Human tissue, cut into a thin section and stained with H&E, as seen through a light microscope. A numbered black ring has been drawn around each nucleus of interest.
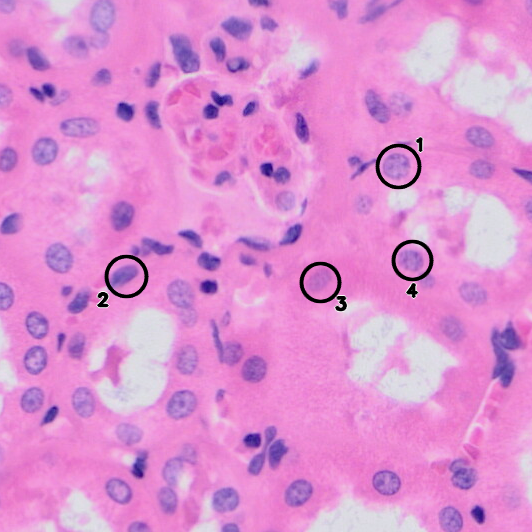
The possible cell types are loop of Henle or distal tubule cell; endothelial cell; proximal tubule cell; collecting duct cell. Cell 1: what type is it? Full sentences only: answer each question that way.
The correct label for cell 1 is a proximal tubule cell.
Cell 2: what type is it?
The cell whose nucleus carries the number 2 is an endothelial cell.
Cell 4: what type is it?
Heads up, the cell numbered 4 is a proximal tubule cell.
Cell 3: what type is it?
The marked cell bearing number 3 is a proximal tubule cell.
